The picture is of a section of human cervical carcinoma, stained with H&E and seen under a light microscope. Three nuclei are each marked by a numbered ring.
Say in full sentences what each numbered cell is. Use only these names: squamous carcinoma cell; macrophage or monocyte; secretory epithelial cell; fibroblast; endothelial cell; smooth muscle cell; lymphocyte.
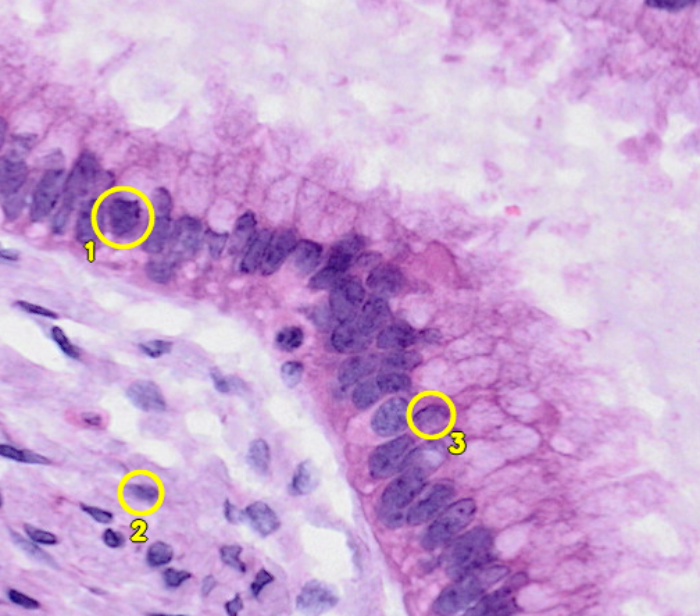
Cell 1 is a secretory epithelial cell, cell 2 is a fibroblast and cell 3 is a secretory epithelial cell.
